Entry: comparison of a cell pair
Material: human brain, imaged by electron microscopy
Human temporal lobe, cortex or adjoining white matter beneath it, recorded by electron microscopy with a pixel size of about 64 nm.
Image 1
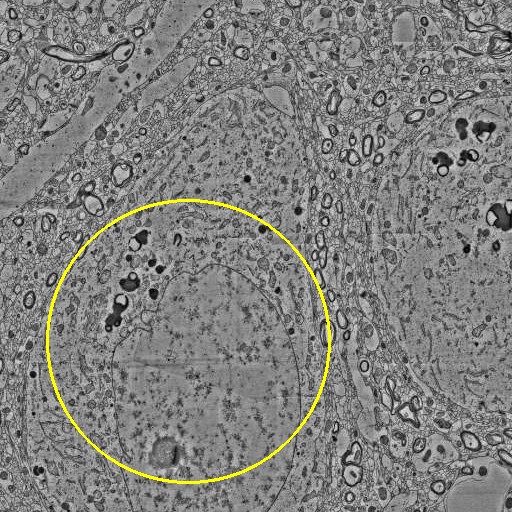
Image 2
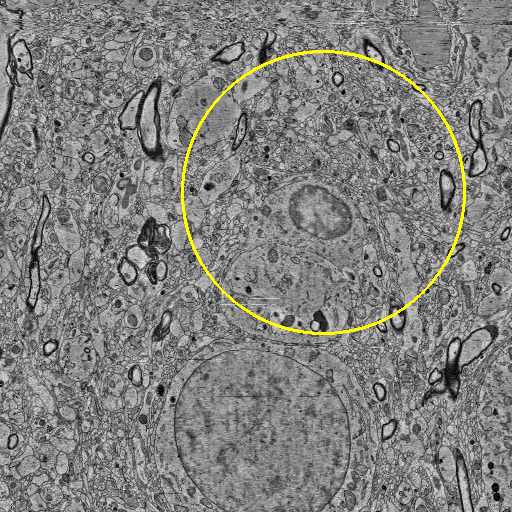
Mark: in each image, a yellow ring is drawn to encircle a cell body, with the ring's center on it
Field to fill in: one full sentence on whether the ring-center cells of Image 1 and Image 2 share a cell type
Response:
No, Image 1 and Image 2 show ring-center cells of two separate types.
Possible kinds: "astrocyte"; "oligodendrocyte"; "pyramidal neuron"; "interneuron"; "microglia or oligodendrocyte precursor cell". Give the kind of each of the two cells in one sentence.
The cell in the second picture is an oligodendrocyte, and that in the first is a pyramidal neuron.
